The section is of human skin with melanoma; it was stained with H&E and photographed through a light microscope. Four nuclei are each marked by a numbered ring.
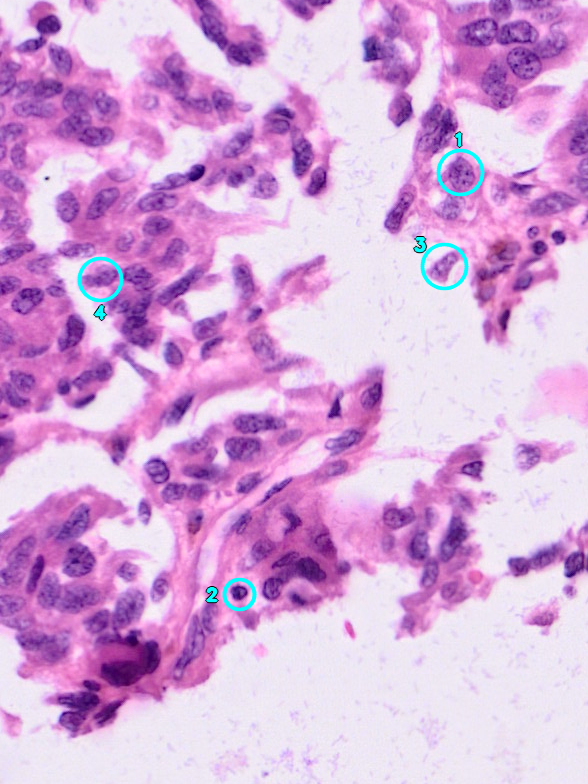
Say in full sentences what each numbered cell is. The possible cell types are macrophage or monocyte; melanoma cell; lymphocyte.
Cells 1, 3 and 4 are melanoma cells. Cell 2 is a lymphocyte.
